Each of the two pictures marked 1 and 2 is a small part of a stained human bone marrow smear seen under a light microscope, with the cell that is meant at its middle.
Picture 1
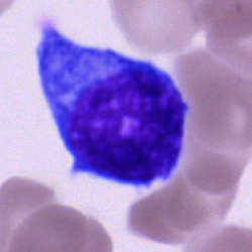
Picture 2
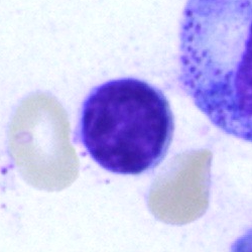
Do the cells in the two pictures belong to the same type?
no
